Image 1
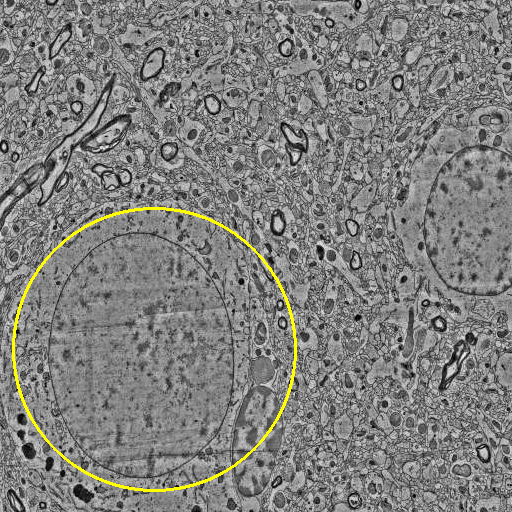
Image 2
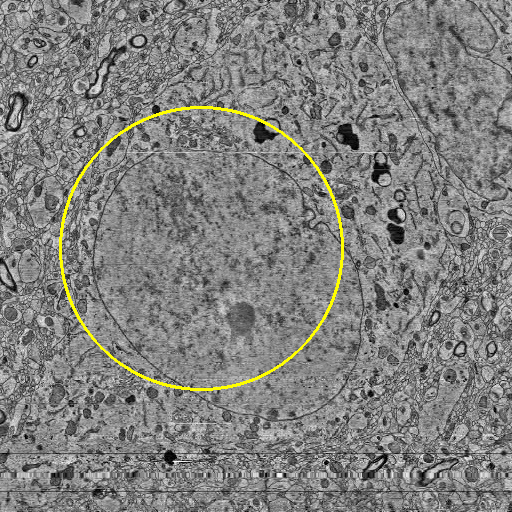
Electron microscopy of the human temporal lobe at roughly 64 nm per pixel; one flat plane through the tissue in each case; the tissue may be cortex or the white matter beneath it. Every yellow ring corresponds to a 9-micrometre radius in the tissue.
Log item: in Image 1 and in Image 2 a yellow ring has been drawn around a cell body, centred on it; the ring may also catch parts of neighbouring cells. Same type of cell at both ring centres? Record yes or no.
yes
